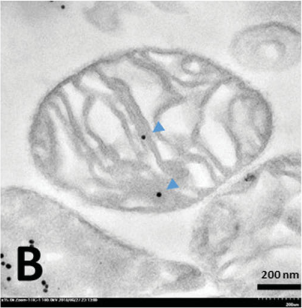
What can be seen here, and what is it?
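The cristae are fewer than in a compact mitochondrion and are separated by wide, pale, electron-lucent spaces. The remaining cristae run irregularly across the interior and some appear curved or branched. Small black gold particles lie on the internal membranes, marked by blue arrowheads. Other membrane-bounded profiles border the organelle at the edges of the field.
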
